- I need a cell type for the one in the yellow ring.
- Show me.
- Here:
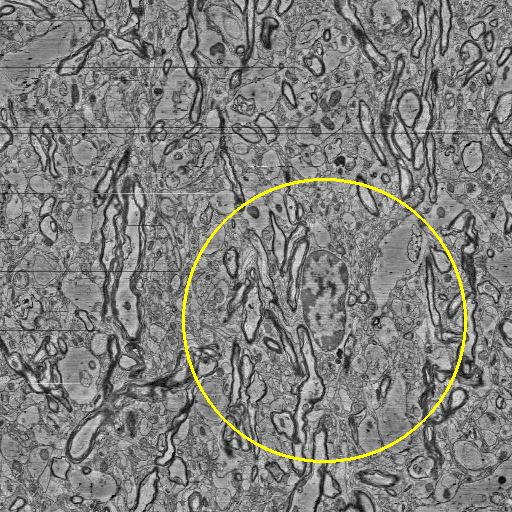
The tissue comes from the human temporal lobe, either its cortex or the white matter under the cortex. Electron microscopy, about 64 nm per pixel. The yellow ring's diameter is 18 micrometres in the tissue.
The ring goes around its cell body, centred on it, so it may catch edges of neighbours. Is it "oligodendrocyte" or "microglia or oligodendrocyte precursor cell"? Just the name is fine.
microglia or oligodendrocyte precursor cell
